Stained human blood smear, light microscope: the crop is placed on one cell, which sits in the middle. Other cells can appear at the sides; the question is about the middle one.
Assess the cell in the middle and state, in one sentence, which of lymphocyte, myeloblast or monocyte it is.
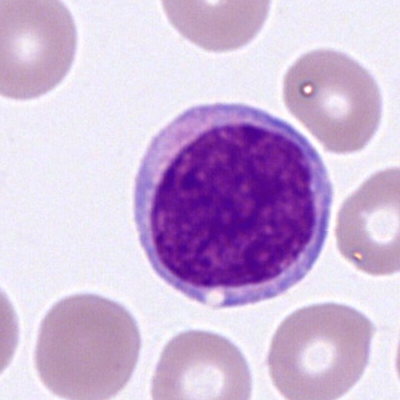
This crop's central cell is a myeloblast.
